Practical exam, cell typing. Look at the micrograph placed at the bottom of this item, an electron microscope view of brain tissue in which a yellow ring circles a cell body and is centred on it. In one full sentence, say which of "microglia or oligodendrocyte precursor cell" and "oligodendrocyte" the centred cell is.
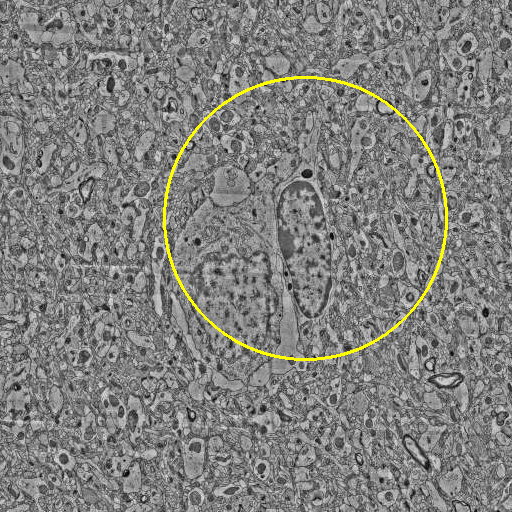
Given the options, a microglial cell or oligodendrocyte precursor cell fits the cell whose body the yellow ring is centred on.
